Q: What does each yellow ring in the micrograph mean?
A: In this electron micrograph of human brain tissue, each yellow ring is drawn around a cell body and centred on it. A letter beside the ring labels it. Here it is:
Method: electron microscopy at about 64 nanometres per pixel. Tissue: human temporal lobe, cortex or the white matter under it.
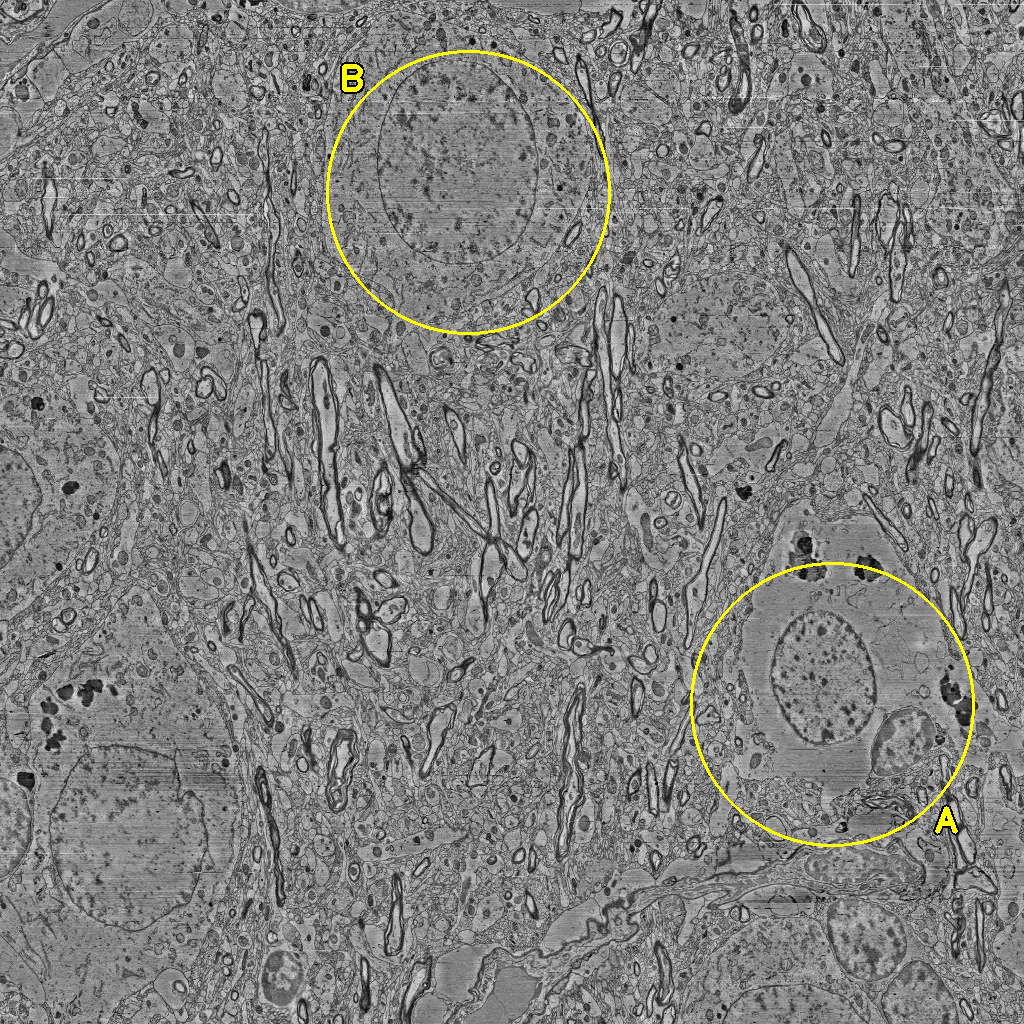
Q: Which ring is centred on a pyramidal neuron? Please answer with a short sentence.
Ring B is the one centred on it.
